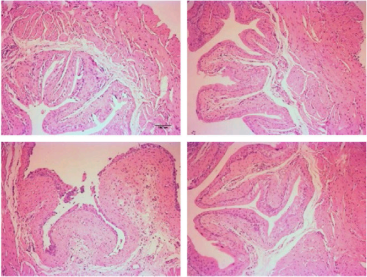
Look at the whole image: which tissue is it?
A: bladder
